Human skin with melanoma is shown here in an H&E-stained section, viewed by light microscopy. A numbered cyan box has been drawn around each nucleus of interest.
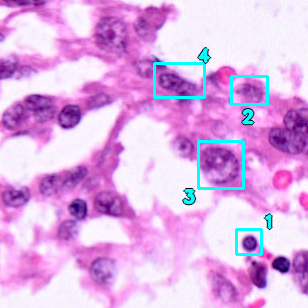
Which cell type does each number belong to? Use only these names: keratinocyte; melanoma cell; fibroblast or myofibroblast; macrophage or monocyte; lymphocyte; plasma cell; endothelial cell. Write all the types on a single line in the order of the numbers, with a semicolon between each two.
lymphocyte; melanoma cell; melanoma cell; melanoma cell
